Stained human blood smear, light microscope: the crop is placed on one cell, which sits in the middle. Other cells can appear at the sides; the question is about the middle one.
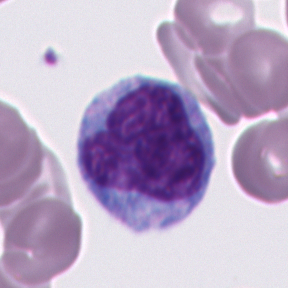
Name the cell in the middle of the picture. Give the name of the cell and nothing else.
monocyte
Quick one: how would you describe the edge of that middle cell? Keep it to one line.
From every side, the cell boundary is smooth and free of projections.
